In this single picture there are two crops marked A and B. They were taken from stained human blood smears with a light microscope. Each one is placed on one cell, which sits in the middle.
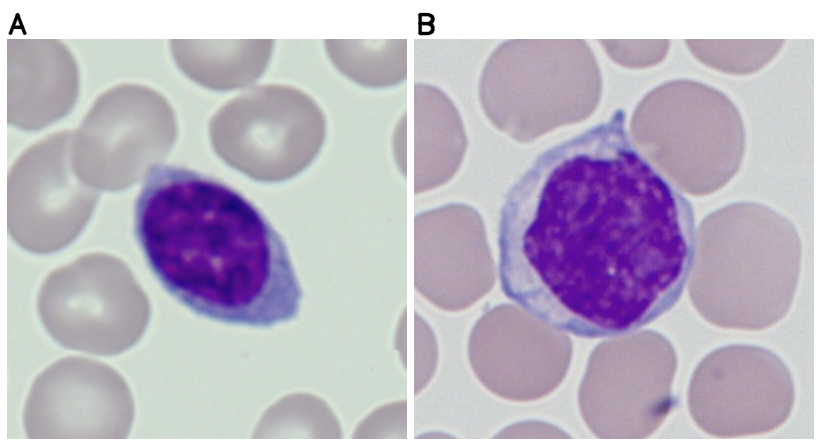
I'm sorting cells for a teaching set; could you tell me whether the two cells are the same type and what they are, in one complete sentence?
Yes, these two crops both show lymphocytes.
